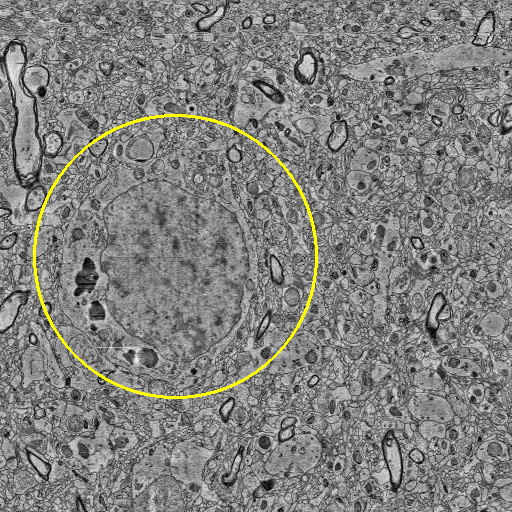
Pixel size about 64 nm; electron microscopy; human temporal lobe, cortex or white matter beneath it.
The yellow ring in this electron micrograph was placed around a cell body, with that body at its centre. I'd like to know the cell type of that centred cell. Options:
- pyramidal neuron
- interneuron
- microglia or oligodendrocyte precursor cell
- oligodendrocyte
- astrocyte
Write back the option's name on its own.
interneuron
